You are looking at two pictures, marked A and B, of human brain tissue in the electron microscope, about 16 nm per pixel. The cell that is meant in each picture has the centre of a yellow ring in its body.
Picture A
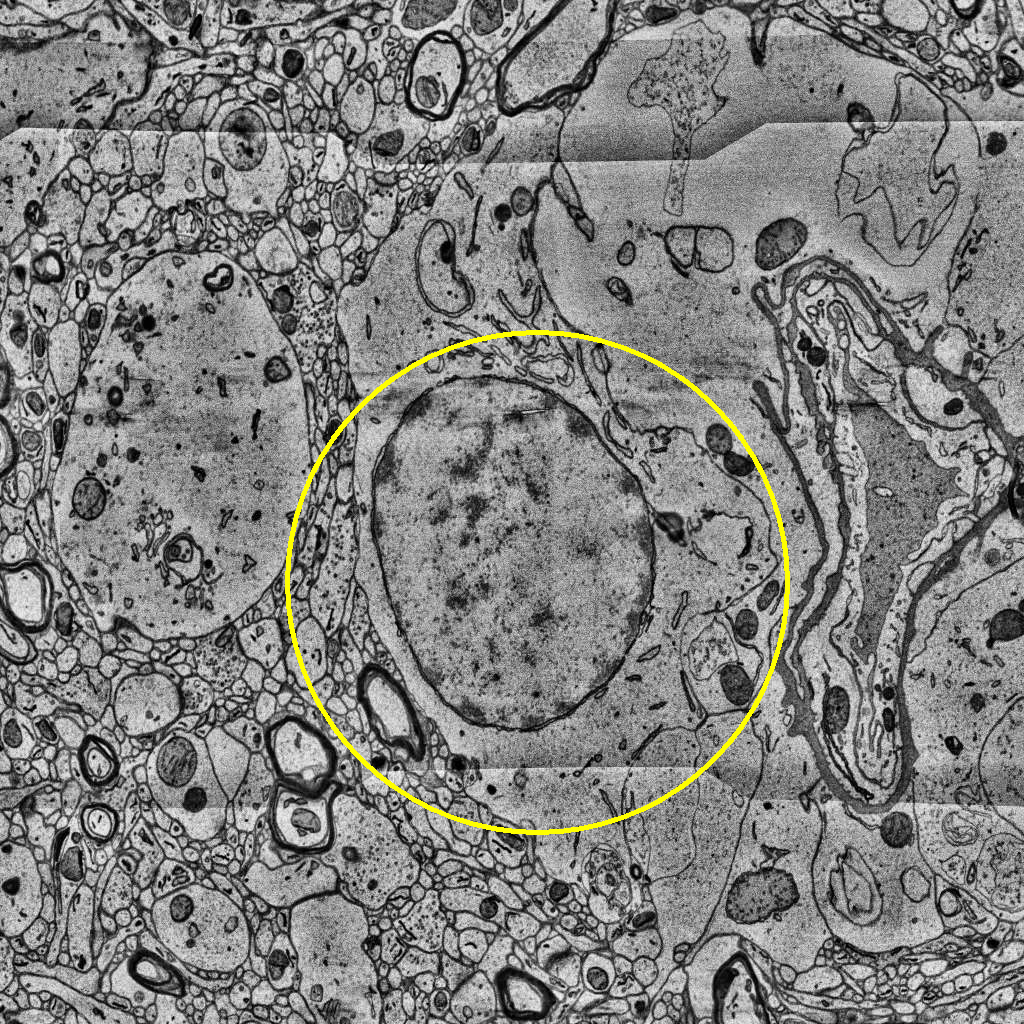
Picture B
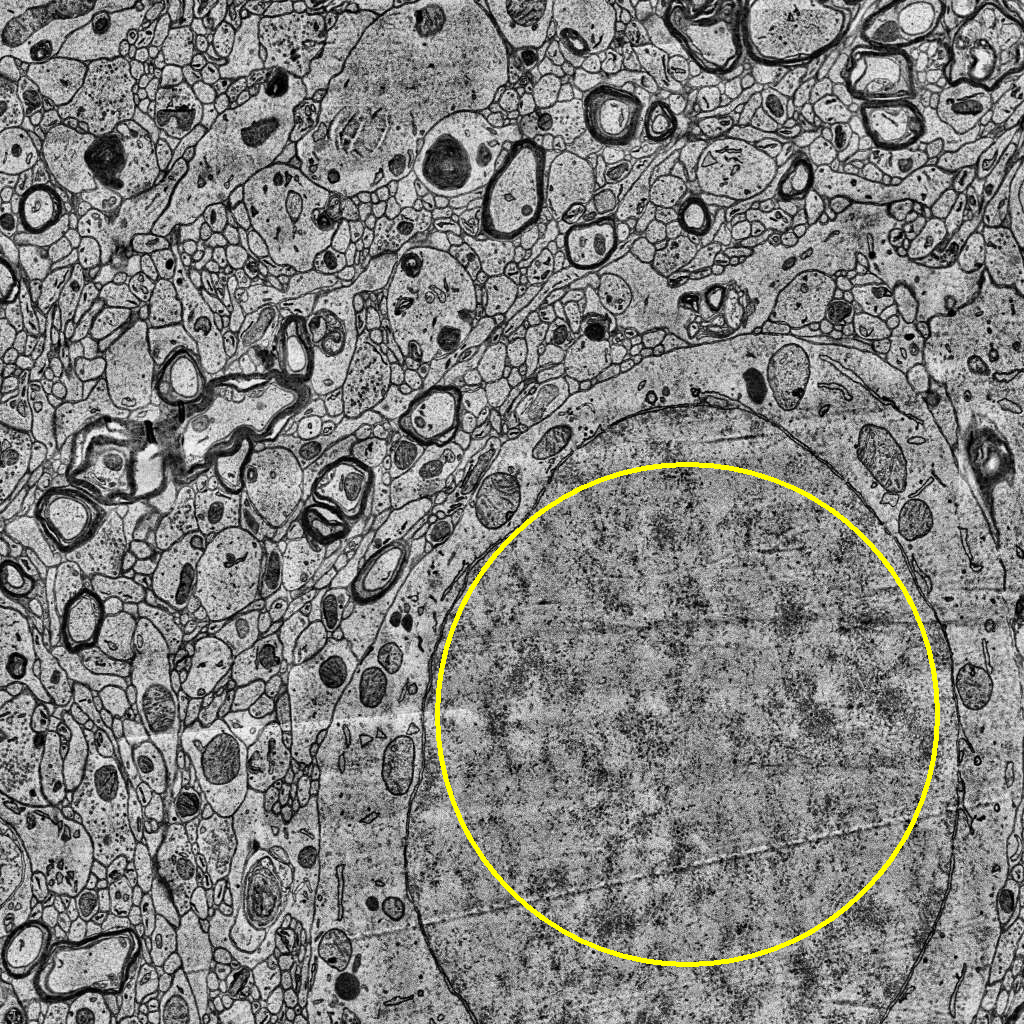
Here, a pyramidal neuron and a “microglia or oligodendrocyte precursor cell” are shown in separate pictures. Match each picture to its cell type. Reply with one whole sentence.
It is picture A that shows a “microglia or oligodendrocyte precursor cell”, and picture B that shows a pyramidal neuron.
